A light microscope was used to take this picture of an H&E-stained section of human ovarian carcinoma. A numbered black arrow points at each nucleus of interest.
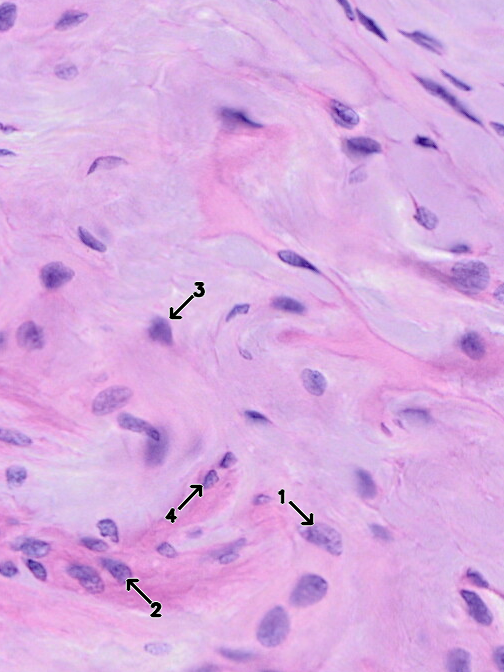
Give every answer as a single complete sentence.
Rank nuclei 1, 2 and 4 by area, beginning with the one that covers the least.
From smallest to largest, the order is 4, 2, 1.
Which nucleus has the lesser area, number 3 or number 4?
Nucleus 4 is the smaller one; nucleus 3 covers about 2.5 times its area.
